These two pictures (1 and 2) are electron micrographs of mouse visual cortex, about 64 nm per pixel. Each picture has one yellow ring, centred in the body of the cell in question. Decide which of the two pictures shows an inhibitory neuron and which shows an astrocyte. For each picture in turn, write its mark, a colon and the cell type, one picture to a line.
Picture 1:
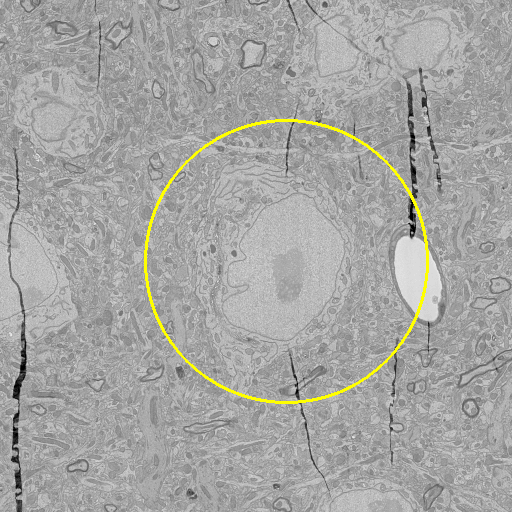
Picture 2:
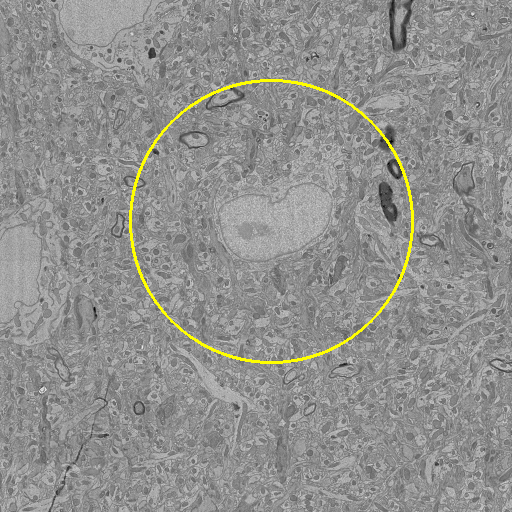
1: inhibitory neuron
2: astrocyte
